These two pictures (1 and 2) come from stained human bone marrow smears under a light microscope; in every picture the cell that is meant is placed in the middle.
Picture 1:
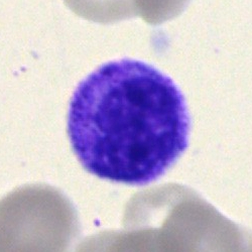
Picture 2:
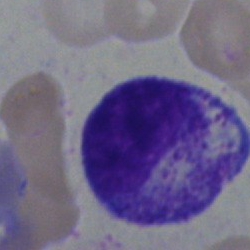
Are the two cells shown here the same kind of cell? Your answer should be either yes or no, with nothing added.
yes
